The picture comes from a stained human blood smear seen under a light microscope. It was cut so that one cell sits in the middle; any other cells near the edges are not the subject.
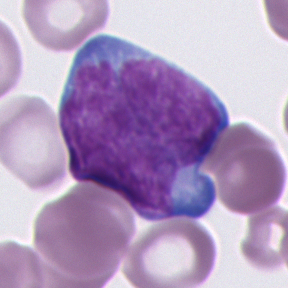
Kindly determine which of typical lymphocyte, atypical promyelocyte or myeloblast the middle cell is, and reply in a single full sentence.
The central element of this crop is a cell, namely a myeloblast.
